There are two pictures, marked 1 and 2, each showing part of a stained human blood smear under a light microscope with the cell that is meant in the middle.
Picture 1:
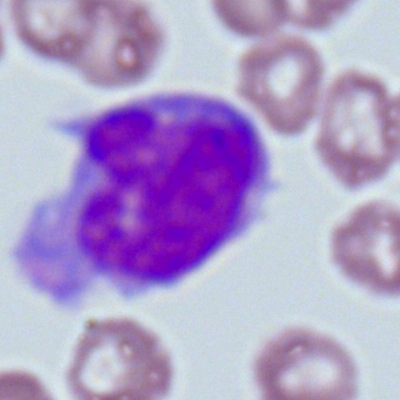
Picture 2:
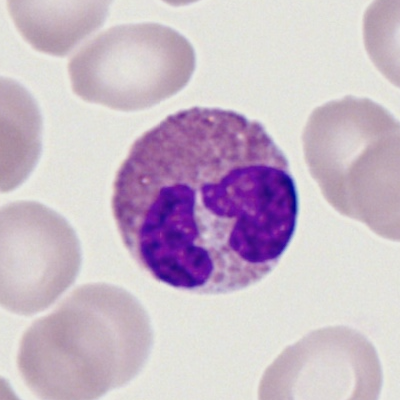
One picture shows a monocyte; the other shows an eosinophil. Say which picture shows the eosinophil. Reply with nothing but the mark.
2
